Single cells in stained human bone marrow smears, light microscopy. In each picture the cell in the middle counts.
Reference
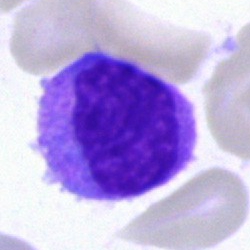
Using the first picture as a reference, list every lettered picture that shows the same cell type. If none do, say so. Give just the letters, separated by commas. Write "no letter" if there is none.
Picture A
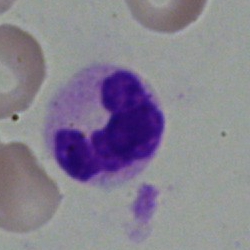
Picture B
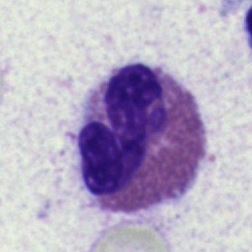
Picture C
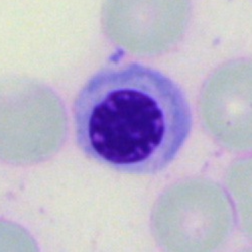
no letter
